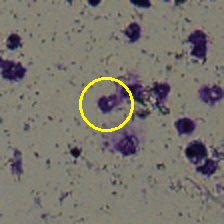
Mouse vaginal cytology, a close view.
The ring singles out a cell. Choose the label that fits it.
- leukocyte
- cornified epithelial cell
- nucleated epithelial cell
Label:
leukocyte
